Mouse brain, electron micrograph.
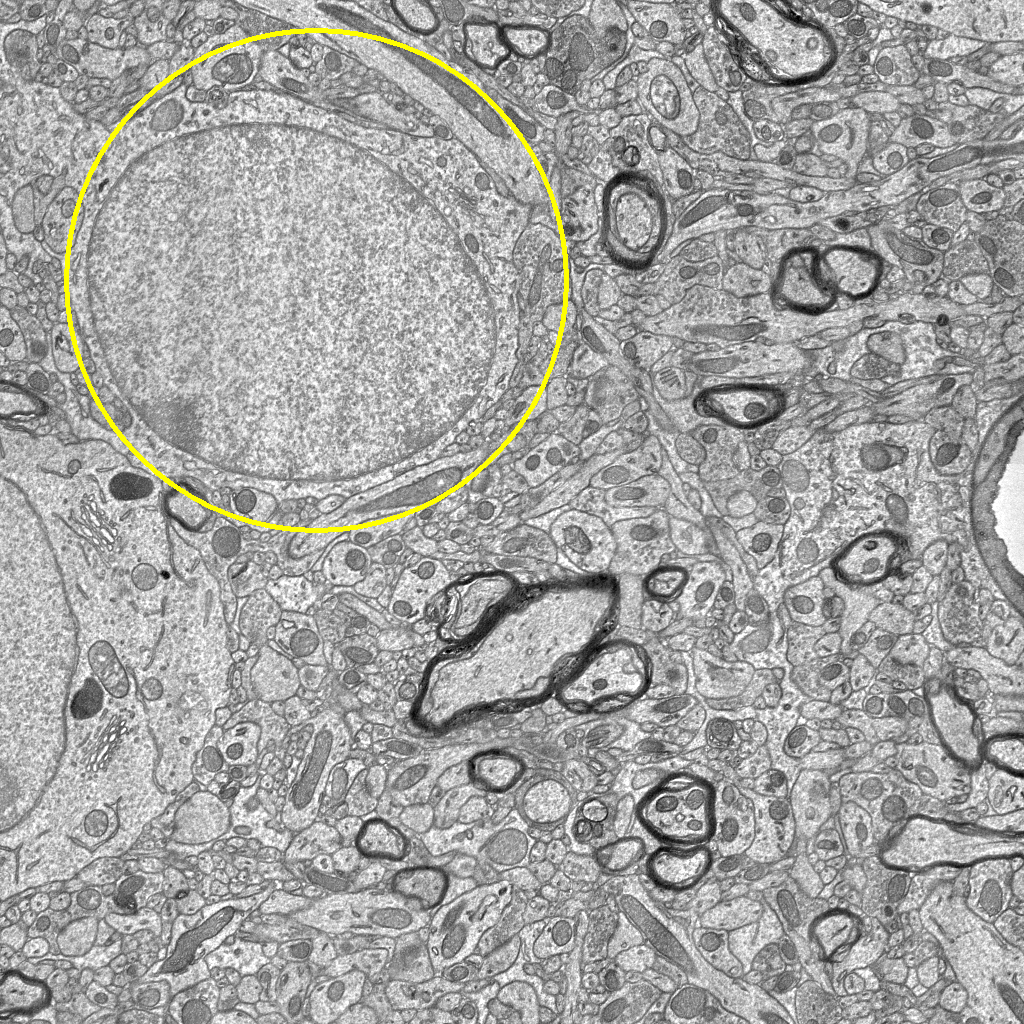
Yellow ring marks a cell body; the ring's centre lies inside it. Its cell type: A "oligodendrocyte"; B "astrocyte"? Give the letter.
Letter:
B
